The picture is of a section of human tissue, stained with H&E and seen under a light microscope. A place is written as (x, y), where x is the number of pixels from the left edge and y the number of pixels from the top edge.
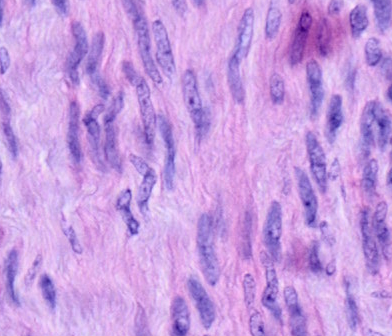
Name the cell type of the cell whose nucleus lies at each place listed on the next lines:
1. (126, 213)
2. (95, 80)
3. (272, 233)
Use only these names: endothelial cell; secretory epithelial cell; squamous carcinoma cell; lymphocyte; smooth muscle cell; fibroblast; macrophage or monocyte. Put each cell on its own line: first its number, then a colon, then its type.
1: fibroblast
2: smooth muscle cell
3: smooth muscle cell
